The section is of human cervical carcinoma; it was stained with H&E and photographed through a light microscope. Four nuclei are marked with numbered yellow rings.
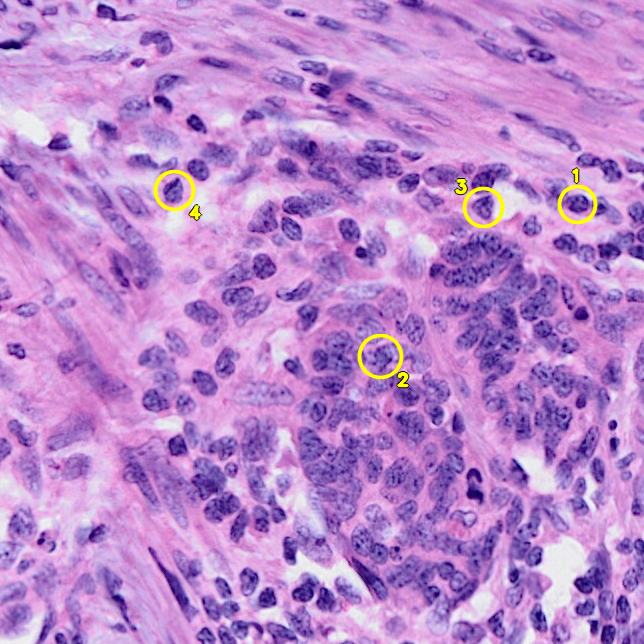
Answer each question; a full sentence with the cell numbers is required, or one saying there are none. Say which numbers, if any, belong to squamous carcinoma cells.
As for the numbered cells, only cell 2 is a squamous carcinoma cell.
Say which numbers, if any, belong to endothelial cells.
There are no endothelial cells in the group of numbered cells.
